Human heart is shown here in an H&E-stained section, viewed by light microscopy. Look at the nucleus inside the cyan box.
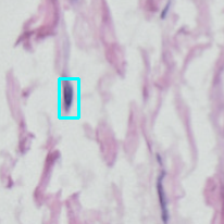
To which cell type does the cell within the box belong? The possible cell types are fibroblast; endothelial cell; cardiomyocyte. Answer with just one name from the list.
fibroblast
